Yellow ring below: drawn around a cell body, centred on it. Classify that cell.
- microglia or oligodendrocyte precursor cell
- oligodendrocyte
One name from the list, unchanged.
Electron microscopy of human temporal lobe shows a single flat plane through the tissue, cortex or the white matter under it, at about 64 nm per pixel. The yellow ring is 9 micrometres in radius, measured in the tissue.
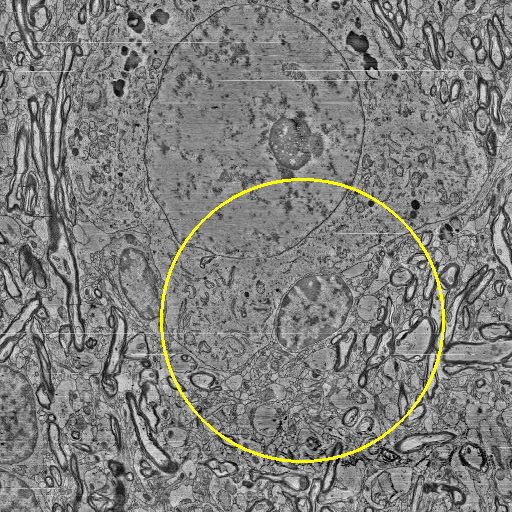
microglia or oligodendrocyte precursor cell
